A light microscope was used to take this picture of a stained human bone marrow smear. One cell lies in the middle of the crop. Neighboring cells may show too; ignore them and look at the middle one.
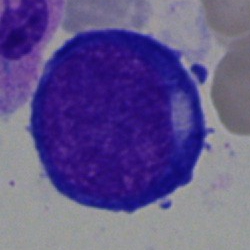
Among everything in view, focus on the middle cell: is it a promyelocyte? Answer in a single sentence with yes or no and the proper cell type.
No, the centre cell is not a promyelocyte but a proerythroblast.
